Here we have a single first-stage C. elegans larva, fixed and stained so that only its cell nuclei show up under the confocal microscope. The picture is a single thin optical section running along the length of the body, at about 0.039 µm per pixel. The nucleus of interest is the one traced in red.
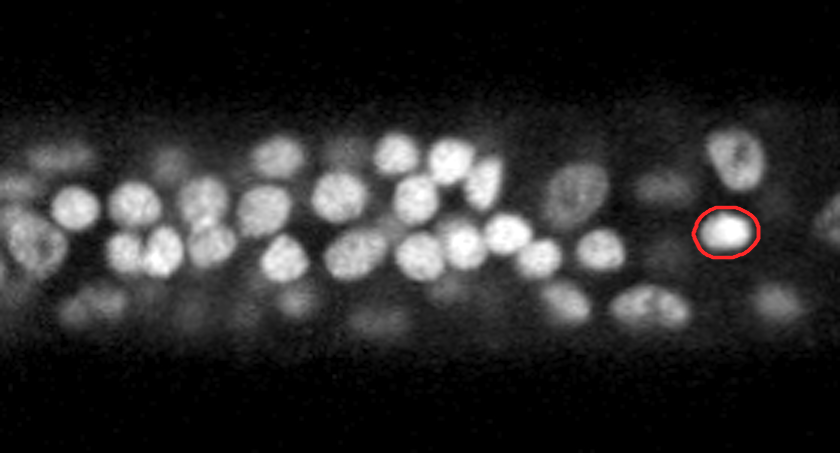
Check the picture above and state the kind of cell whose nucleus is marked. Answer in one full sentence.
The marked nucleus belongs to a glial cell (sheath or socket).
